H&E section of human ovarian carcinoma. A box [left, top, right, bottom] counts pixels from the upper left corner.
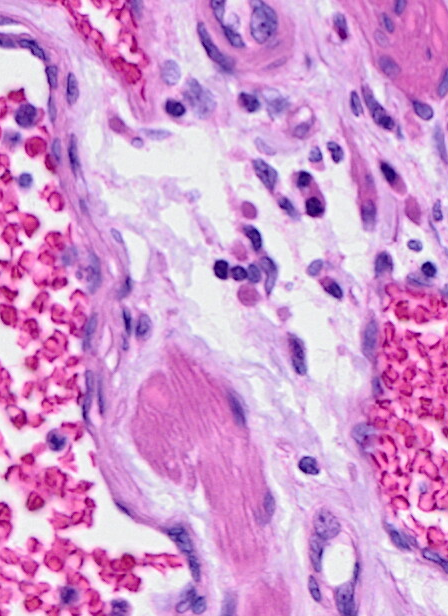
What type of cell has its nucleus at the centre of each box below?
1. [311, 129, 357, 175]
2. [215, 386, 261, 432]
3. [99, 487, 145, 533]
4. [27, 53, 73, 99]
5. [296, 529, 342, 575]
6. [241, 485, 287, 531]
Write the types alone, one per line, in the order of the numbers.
lymphocyte
smooth muscle cell
endothelial cell
endothelial cell
endothelial cell
smooth muscle cell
